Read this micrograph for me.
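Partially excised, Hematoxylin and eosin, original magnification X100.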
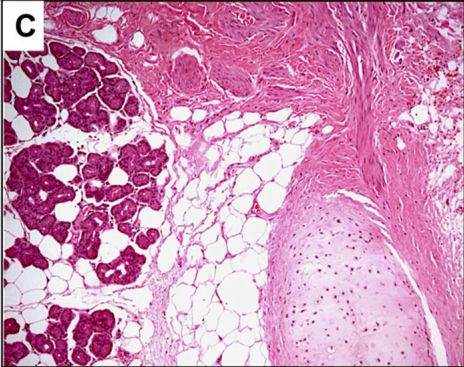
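At the left, lobules of closely packed glandular acini stain deep purple and are separated by thin strands of connective tissue. Between the glands and the rest of the section lies adipose tissue of large, clear, polygonal fat cells with thin walls. At the lower right is a rounded nodule of cartilage with a pale pink, glassy matrix in which small cells sit in lacunae. The upper right is filled with pink, wavy bundles of collagen fibres, with a few scattered red blood cells near the right edge.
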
